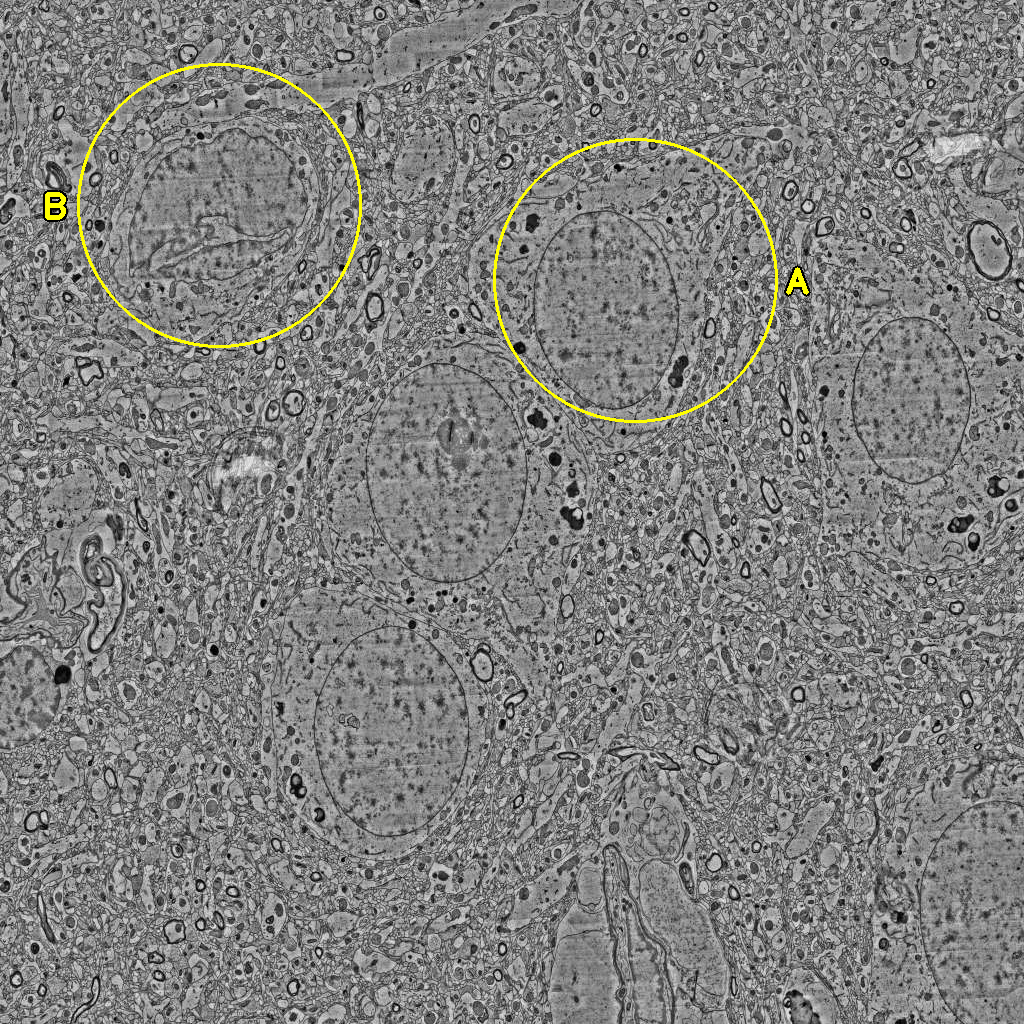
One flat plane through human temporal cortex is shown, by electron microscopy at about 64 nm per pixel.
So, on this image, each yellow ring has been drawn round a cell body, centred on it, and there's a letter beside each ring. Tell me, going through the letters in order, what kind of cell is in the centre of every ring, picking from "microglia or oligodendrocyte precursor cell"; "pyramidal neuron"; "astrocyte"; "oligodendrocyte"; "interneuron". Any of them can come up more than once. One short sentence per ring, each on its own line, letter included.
Ring A has been drawn round a pyramidal neuron.
Ring B has been drawn round an interneuron.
